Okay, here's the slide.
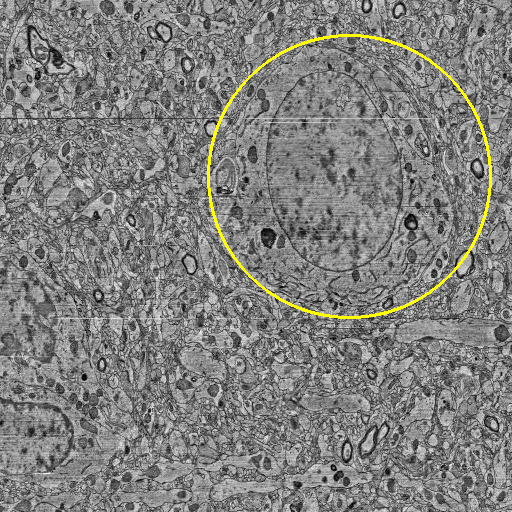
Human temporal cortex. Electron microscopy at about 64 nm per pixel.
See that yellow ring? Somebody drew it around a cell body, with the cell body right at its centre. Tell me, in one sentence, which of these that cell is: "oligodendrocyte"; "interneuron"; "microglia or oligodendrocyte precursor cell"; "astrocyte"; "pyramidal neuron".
The cell in the middle of the ring is a pyramidal neuron.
